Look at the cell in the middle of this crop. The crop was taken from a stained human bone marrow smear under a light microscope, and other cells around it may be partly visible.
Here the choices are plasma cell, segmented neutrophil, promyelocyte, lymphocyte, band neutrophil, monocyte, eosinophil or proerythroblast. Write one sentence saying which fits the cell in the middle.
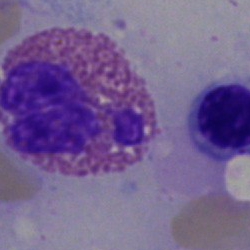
The cell nearest the centre of this crop is an eosinophil.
